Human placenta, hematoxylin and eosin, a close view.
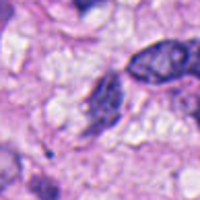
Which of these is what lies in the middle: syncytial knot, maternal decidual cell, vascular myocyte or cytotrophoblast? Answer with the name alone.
vascular myocyte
